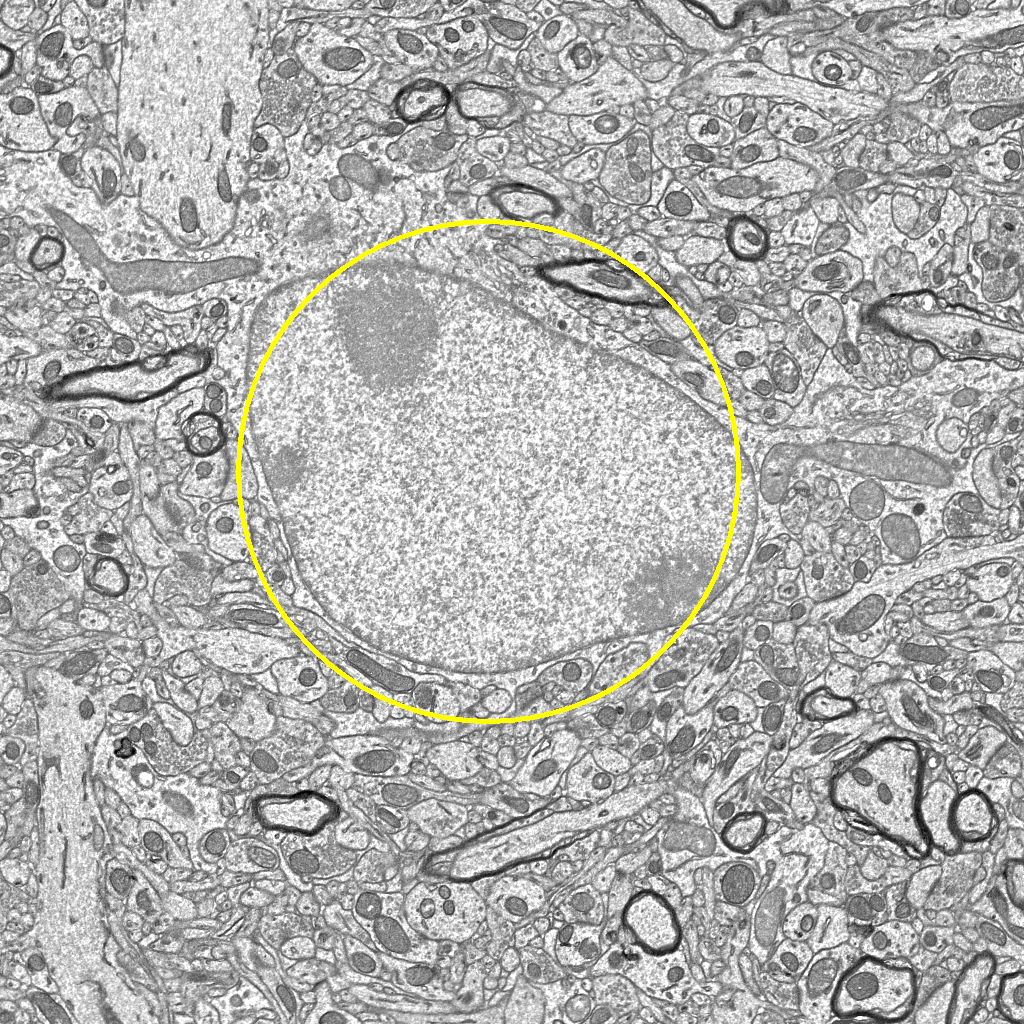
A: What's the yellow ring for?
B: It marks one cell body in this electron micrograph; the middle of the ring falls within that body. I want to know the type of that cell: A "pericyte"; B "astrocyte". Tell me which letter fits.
B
